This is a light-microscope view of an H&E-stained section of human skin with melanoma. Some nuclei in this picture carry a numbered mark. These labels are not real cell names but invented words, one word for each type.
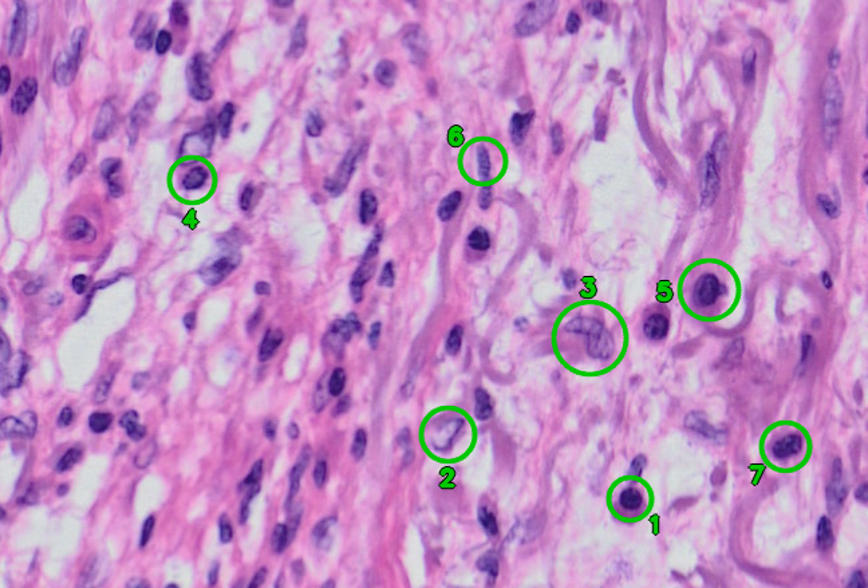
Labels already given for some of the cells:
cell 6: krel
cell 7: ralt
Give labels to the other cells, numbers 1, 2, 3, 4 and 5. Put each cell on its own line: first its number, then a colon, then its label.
1: ralt
2: krel
3: krel
4: ralt
5: ralt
